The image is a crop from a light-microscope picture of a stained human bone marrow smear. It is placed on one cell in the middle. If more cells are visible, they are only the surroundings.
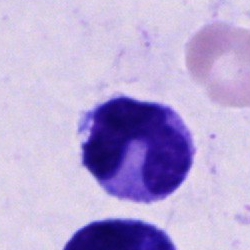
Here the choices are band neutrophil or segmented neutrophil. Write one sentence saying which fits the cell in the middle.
The middle cell in this particular crop is a band neutrophil.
